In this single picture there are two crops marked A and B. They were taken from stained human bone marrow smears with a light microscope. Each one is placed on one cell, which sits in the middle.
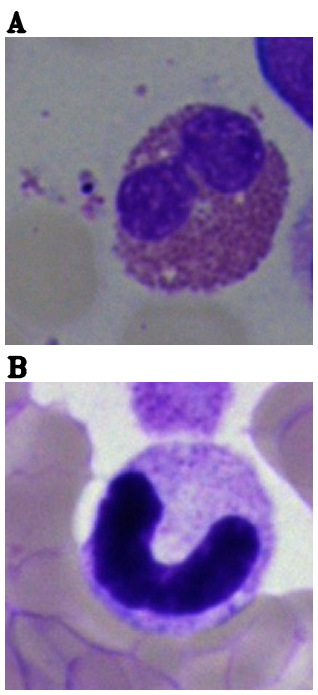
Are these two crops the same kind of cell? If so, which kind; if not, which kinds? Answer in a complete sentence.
No, an eosinophil is what crop A shows, and a band neutrophil is what crop B shows.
